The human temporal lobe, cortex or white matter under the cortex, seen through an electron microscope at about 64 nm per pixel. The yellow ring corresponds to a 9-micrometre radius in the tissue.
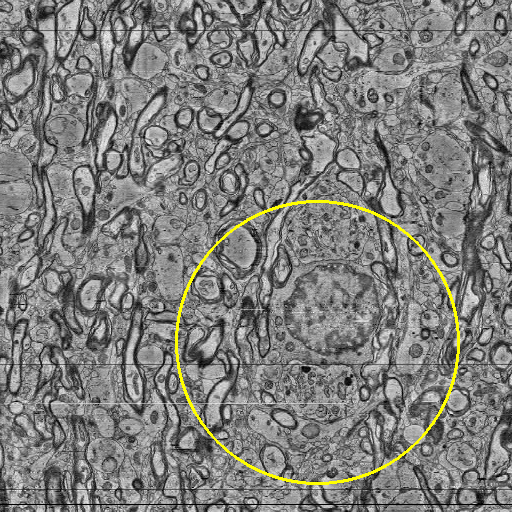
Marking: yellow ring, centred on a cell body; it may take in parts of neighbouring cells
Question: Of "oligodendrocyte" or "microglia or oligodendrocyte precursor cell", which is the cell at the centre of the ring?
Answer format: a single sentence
The ring surrounds the body of an oligodendrocyte.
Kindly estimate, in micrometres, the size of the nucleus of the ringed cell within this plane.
The nucleus measures about 6 micrometers across in this plane.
